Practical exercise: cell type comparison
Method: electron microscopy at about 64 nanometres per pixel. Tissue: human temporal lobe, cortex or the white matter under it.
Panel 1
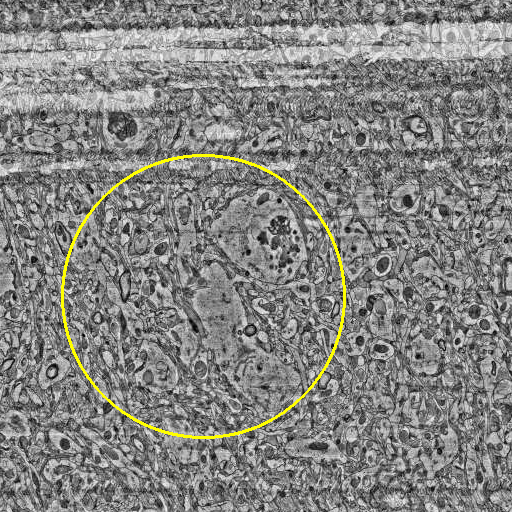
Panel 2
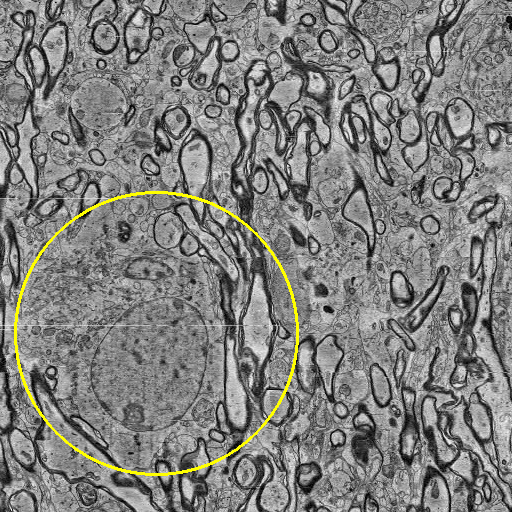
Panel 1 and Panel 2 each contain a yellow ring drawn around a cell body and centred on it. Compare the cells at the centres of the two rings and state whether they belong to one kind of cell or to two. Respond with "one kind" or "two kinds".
one kind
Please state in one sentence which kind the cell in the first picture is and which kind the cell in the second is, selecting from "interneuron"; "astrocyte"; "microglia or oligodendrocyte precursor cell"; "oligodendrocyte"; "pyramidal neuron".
In both pictures the ring is centred on an astrocyte.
